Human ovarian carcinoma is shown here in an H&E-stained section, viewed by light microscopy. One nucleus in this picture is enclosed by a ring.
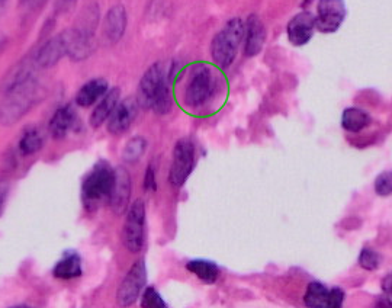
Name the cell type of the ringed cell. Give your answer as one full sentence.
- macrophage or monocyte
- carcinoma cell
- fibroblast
Within this tissue, the ringed cell is a carcinoma cell.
